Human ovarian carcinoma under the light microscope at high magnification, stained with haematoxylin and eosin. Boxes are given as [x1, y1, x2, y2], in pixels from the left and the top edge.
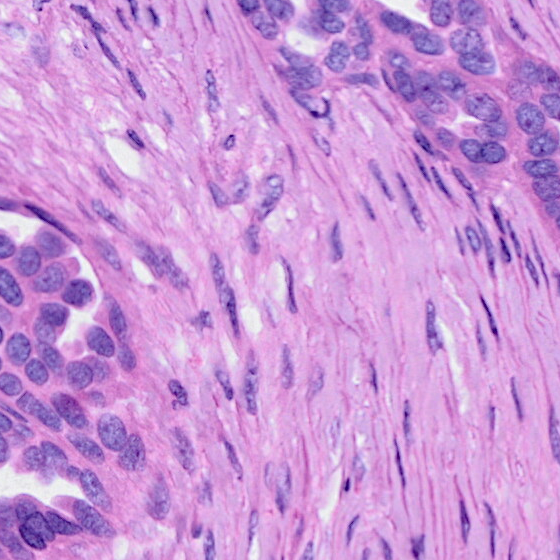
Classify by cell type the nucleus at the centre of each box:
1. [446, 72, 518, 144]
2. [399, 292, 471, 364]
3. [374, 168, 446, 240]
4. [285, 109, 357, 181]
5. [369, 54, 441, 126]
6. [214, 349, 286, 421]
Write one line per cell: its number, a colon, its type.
1: carcinoma cell
2: fibroblast
3: fibroblast
4: fibroblast
5: carcinoma cell
6: fibroblast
